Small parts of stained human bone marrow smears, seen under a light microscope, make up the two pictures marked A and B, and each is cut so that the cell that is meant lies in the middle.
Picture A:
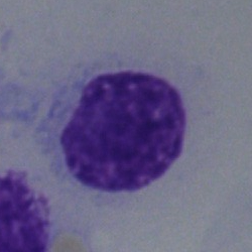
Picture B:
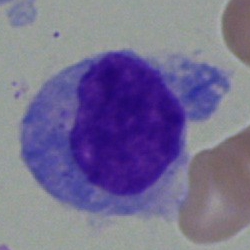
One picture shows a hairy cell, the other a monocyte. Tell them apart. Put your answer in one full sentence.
Picture A is of a hairy cell, and picture B is of a monocyte.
